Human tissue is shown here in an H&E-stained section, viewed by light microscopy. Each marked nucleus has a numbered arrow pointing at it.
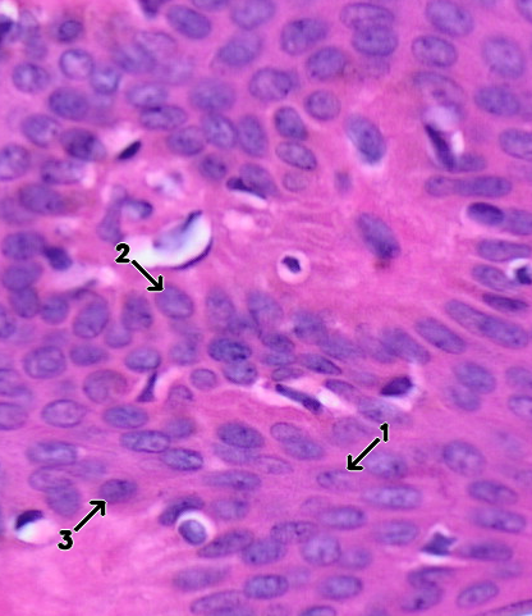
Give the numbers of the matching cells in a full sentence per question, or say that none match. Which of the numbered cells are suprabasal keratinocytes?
Only cell 1 is a suprabasal keratinocyte; none of the other numbered cells is.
